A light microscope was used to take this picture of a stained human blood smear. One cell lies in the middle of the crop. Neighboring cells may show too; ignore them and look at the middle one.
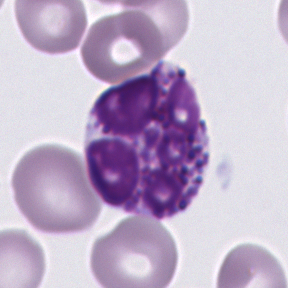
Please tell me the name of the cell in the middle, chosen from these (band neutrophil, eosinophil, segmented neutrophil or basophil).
basophil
